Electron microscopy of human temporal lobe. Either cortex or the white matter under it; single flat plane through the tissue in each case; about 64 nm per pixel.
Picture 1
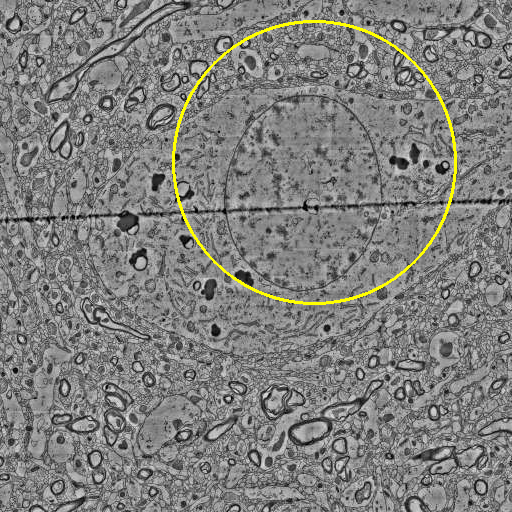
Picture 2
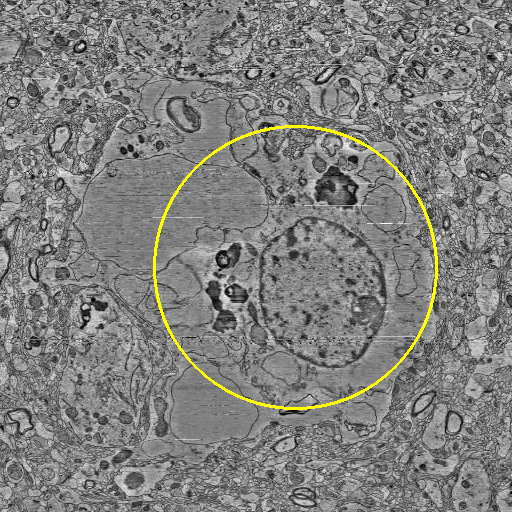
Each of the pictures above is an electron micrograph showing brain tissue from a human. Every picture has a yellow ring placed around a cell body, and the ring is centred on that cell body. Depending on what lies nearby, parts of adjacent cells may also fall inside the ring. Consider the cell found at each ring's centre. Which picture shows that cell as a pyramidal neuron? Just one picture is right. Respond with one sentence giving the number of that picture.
The picture showing the wanted cell at the ring's centre is number 1.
